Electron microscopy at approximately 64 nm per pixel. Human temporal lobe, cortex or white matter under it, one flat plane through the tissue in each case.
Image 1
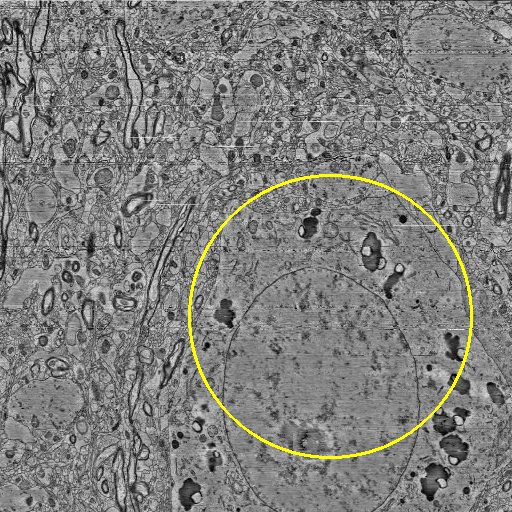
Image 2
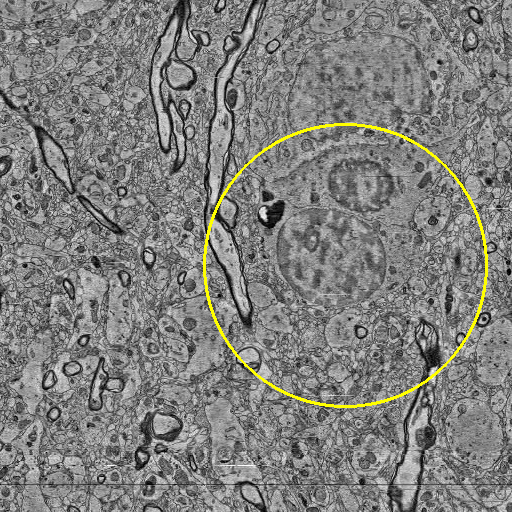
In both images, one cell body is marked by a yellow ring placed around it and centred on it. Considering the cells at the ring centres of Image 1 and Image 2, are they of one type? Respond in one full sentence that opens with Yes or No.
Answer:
No, two types apply to the ring-centred cells of Image 1 and Image 2.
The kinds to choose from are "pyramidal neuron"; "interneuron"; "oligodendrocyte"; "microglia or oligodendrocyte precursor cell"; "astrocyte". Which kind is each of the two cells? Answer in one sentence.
Of the two, the first cell is a pyramidal neuron and the second cell is an oligodendrocyte.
